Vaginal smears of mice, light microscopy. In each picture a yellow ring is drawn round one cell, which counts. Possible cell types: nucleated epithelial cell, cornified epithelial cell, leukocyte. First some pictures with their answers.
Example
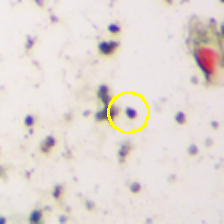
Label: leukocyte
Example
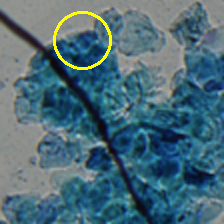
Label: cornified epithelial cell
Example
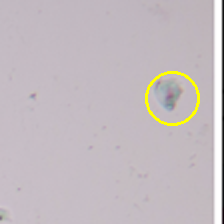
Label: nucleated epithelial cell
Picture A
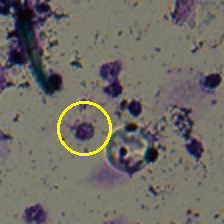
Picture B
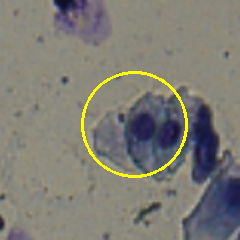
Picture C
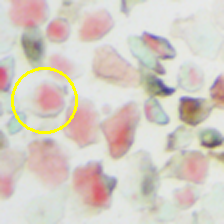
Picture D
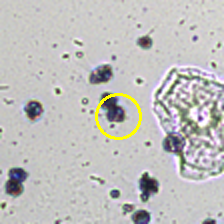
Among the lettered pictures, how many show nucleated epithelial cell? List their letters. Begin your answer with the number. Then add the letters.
2: B, C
